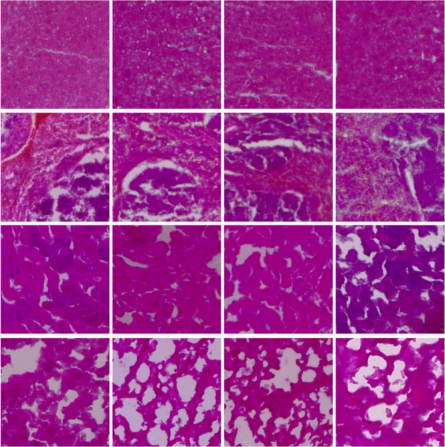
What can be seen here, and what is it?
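This grid of hematoxylin and eosin sections shows several major organs, stained in purple and pink. The rows differ clearly in their architecture. One row is dense, evenly pink tissue. Another is open, lace-like tissue with many air spaces.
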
